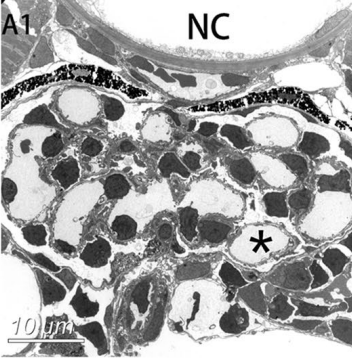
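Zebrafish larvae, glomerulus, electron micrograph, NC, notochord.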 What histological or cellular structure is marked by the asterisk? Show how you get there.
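The asterisk sits in a round pale lumen lined by a thin wall. Many similar pale lumina are packed among dark nuclei. On this evidence: Capillary.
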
